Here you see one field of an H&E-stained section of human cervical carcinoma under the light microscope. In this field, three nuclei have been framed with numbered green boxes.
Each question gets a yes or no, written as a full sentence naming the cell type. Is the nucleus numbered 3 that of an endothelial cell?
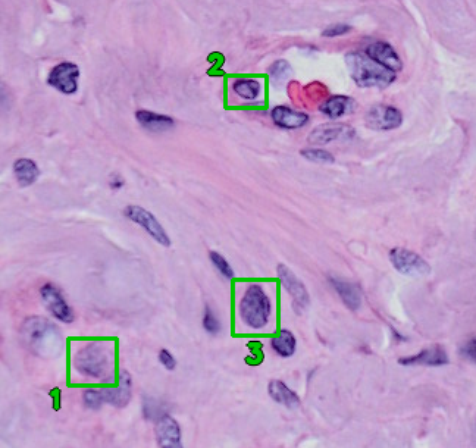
No, cell 3 should be classed as a fibroblast, not as an endothelial cell.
